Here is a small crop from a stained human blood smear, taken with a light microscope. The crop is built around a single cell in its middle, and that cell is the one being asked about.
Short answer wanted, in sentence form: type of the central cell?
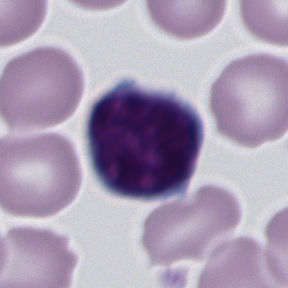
Among the cells in view, the one in the middle is a typical lymphocyte.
